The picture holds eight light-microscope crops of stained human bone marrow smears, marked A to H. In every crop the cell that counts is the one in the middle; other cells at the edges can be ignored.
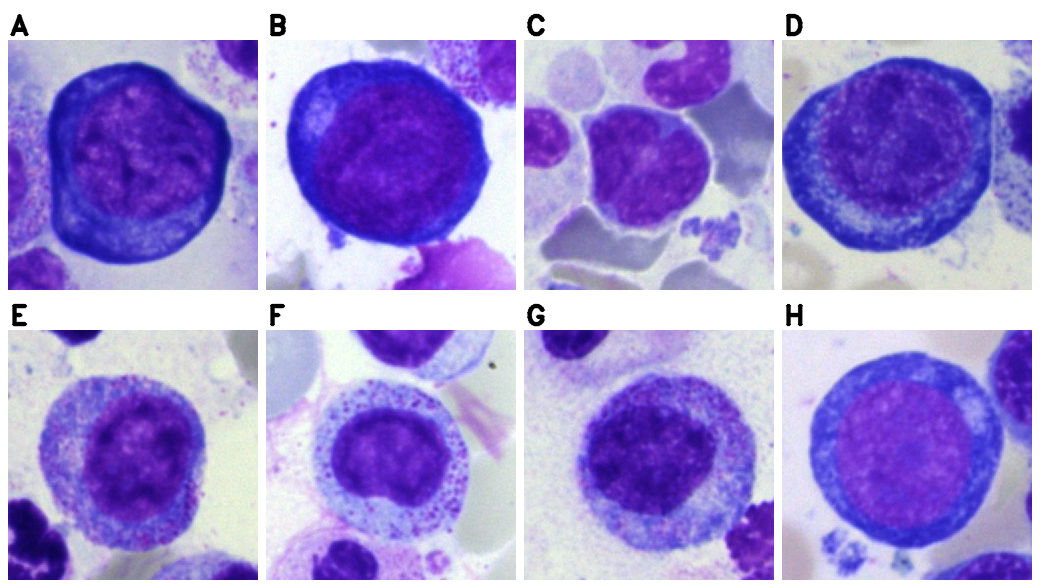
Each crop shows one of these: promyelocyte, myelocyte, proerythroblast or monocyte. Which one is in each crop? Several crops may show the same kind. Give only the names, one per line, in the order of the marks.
proerythroblast
proerythroblast
monocyte
proerythroblast
promyelocyte
myelocyte
myelocyte
proerythroblast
